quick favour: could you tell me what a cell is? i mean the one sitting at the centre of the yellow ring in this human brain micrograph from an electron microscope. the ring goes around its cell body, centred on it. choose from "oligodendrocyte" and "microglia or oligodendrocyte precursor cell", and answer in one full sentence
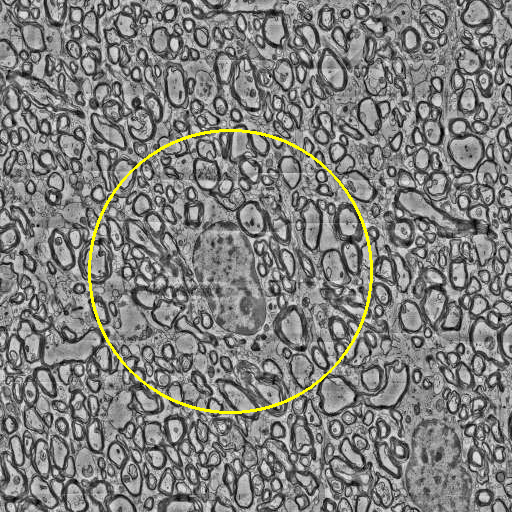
That's a microglial cell or oligodendrocyte precursor cell, the cell sitting at the centre of the yellow ring.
